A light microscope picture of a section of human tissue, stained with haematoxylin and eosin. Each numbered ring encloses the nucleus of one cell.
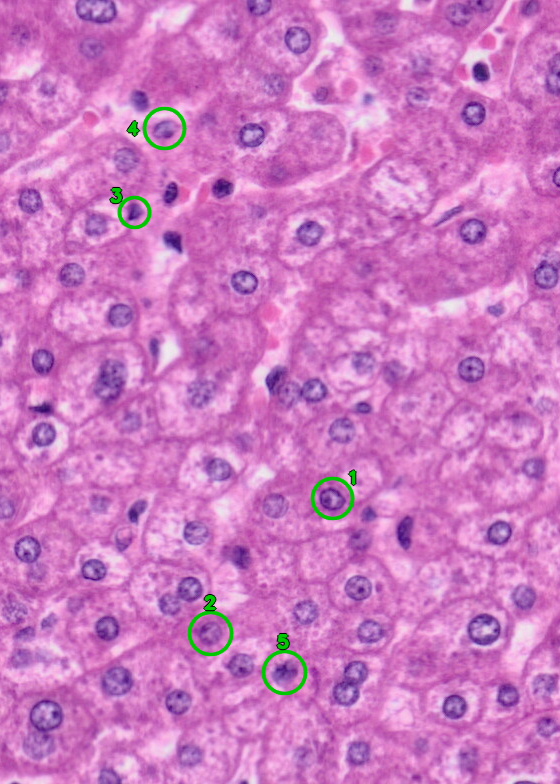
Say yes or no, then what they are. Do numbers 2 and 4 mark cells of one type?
No, listen: cell 2 is a hepatocyte and cell 4 is a Kupffer cell.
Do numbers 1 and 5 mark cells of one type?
No, sorry to say, cell 1 is a hepatocyte and cell 5 is an endothelial cell.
